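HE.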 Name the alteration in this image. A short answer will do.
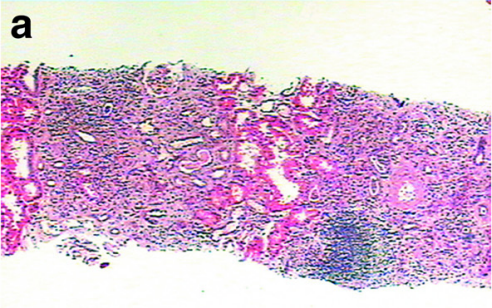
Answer: Multi-focal fibrosis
